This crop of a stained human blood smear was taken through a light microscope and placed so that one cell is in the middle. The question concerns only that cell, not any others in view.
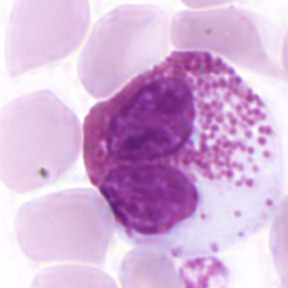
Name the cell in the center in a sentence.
The cell occupying the middle of the crop is an eosinophil.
